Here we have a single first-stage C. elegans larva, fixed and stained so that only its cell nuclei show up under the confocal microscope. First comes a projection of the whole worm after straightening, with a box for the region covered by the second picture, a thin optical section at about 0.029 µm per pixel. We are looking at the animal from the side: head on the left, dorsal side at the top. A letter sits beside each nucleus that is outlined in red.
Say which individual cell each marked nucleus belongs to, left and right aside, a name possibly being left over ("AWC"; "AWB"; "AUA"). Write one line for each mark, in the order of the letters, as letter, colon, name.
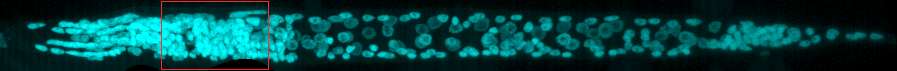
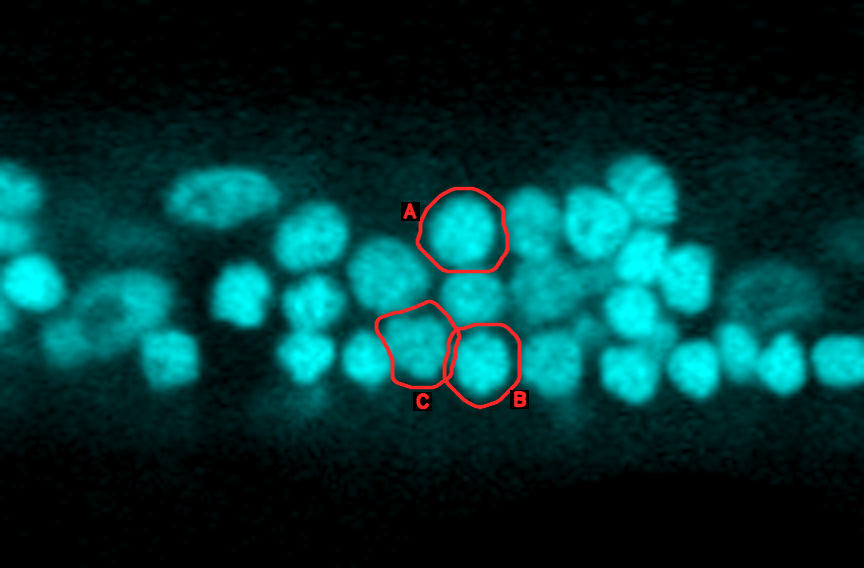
A: AWB
B: AUA
C: AWC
